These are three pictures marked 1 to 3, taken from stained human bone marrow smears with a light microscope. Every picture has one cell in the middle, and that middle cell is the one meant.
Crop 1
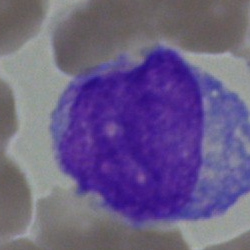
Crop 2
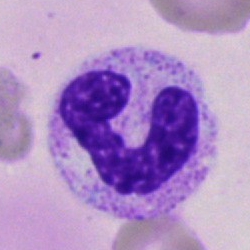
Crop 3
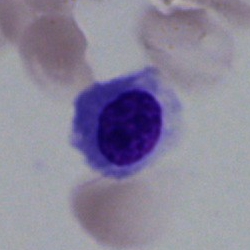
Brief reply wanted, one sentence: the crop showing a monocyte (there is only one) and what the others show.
Crop 1 contains a monocyte; meanwhile, crop 2 is a segmented neutrophil and crop 3 is an erythroblast.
